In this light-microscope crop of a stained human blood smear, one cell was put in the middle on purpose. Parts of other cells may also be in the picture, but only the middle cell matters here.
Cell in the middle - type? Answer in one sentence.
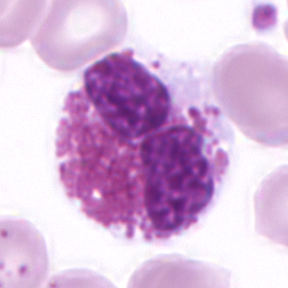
Centred in the crop is an eosinophil.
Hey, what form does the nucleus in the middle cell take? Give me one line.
You can count two or more lobes in this nucleus.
